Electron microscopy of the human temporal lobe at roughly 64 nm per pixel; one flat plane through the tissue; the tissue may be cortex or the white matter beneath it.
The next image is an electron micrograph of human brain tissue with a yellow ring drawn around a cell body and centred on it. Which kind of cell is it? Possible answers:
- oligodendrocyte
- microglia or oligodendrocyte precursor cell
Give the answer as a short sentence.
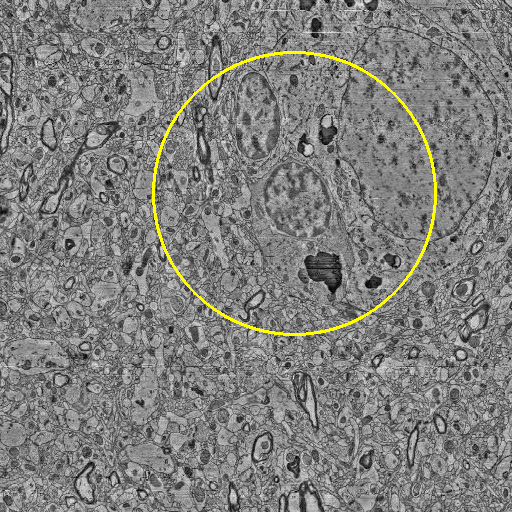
In the ring's centre is an oligodendrocyte.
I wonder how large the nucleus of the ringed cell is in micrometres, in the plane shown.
About 5 micrometres by about 4 micrometres in this plane.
